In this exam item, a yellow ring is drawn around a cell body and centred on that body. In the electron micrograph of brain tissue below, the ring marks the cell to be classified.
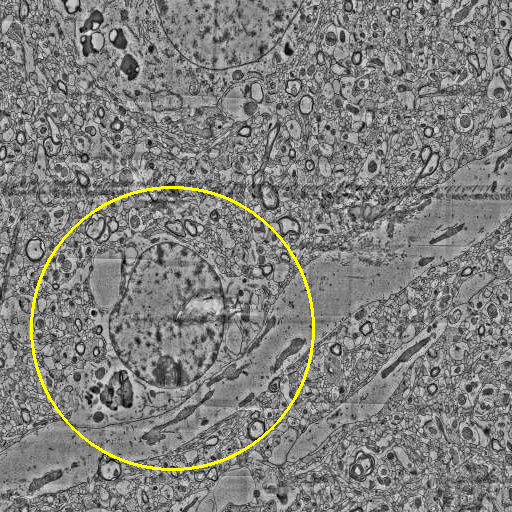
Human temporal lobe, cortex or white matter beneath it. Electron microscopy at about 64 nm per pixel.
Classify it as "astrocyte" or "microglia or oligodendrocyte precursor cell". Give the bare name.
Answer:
astrocyte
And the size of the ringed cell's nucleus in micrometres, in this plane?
In this plane the nucleus measures roughly 9 by 7 micrometres.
